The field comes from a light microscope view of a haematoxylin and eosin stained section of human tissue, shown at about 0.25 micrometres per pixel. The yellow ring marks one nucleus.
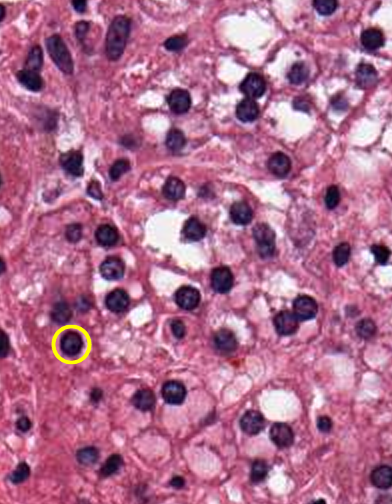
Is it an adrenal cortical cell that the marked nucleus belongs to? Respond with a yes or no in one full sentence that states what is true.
Yes, the marked nucleus is found within an adrenal cortical cell.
